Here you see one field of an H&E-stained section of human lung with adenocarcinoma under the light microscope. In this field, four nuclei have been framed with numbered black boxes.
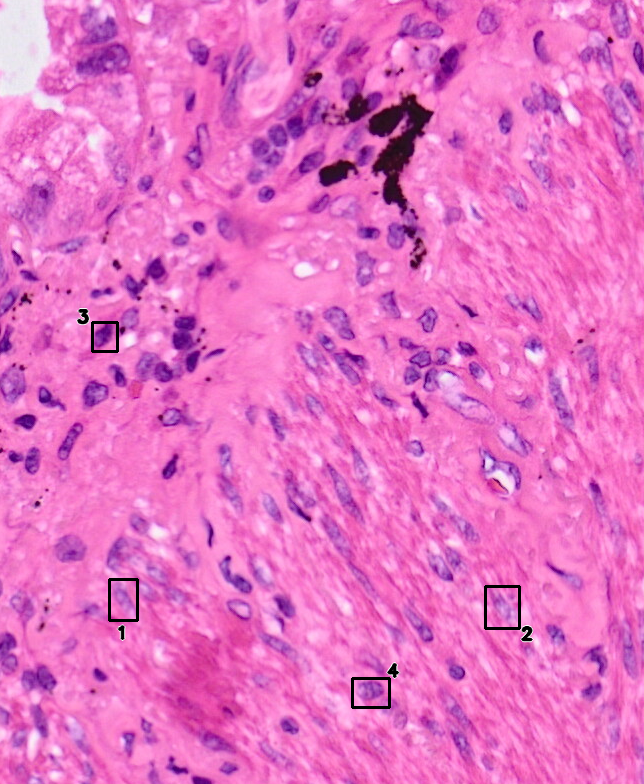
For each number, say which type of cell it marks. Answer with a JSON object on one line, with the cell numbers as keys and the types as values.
{"1": "smooth muscle cell or pericyte", "2": "smooth muscle cell or pericyte", "3": "plasma cell", "4": "mast cell"}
